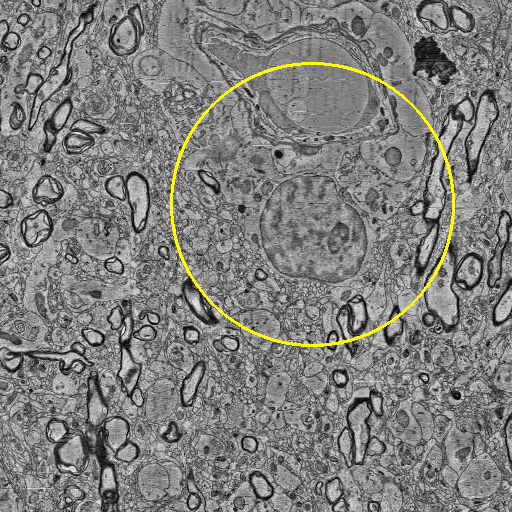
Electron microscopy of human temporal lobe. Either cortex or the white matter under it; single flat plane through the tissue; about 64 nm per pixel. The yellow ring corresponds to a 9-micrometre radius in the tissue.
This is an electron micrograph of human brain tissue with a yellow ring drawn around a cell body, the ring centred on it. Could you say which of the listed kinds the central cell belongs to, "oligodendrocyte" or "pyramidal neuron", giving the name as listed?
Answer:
oligodendrocyte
